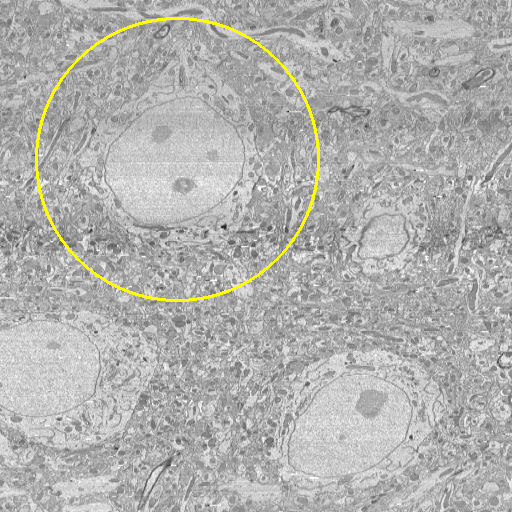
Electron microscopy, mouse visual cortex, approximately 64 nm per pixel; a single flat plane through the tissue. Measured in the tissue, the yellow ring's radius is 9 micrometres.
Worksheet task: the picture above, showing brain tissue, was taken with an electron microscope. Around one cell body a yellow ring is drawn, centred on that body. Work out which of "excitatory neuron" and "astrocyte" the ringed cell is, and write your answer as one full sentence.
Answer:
It is an excitatory neuron whose cell body lies at the centre of the yellow ring.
